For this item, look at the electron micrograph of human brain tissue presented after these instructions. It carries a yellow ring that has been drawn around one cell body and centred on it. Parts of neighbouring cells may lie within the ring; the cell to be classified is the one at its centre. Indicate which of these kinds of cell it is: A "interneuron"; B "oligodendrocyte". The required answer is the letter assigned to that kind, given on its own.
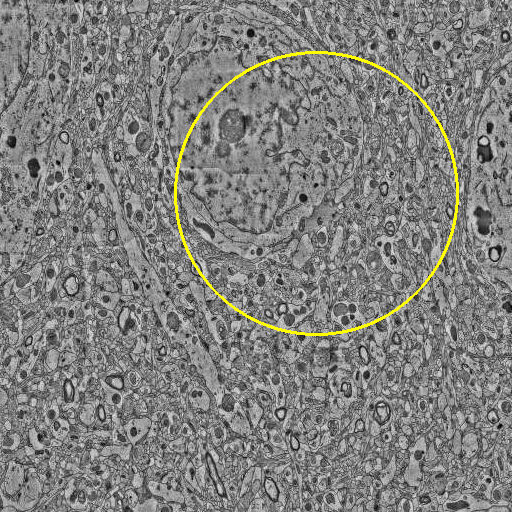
B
